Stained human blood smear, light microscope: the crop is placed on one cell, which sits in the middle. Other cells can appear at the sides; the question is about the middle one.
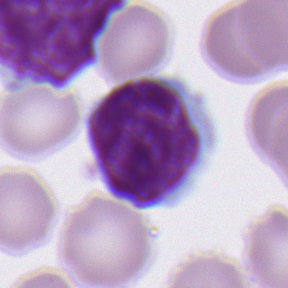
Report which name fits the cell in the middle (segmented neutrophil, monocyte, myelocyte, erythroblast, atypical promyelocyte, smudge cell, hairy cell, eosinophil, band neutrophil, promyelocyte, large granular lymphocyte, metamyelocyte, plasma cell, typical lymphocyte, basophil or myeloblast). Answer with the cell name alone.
typical lymphocyte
